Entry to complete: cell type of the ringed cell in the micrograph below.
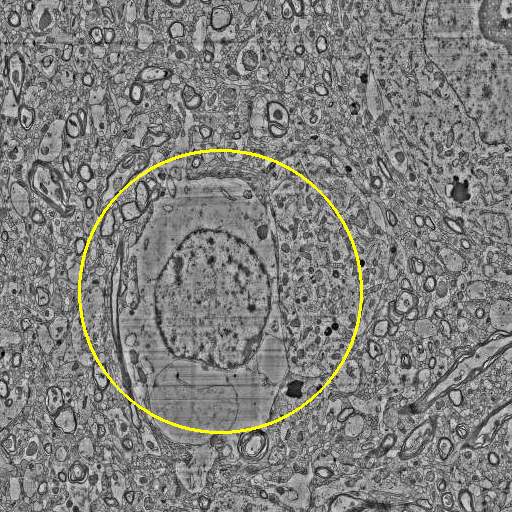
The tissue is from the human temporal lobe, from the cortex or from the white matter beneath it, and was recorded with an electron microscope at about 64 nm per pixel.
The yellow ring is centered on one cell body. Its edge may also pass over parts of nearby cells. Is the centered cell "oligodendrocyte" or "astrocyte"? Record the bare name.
astrocyte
